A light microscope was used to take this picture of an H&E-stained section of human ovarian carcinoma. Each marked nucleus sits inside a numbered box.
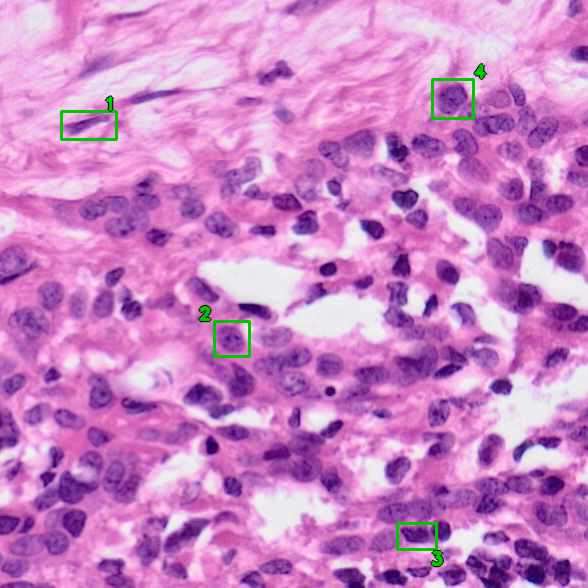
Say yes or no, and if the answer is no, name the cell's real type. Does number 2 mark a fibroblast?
No, it is a carcinoma cell.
